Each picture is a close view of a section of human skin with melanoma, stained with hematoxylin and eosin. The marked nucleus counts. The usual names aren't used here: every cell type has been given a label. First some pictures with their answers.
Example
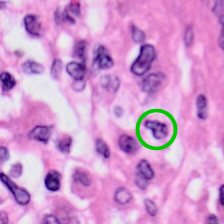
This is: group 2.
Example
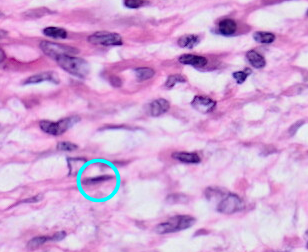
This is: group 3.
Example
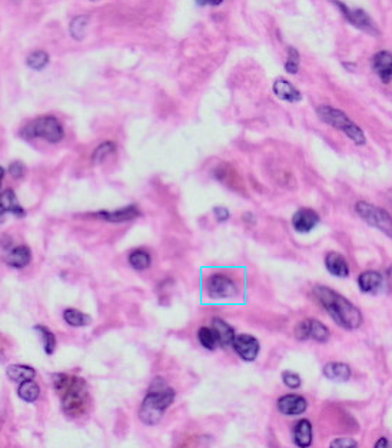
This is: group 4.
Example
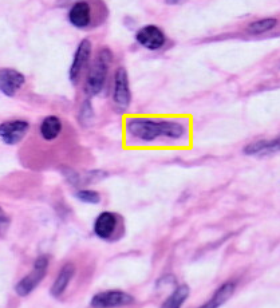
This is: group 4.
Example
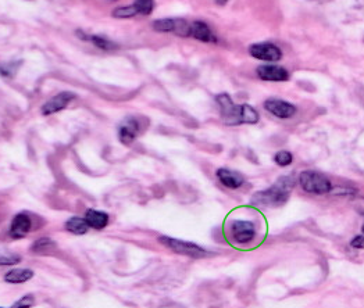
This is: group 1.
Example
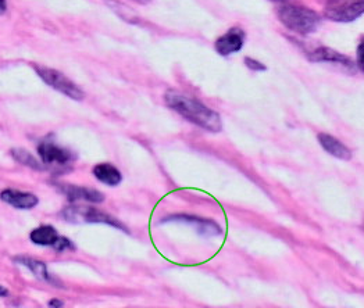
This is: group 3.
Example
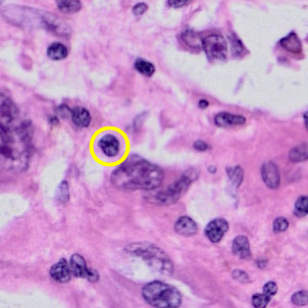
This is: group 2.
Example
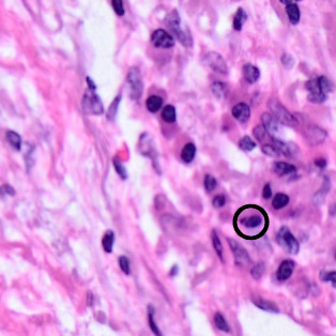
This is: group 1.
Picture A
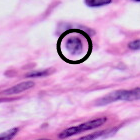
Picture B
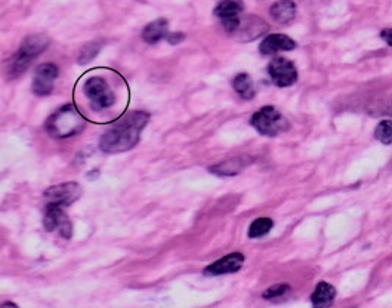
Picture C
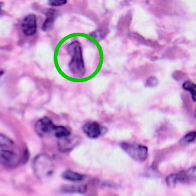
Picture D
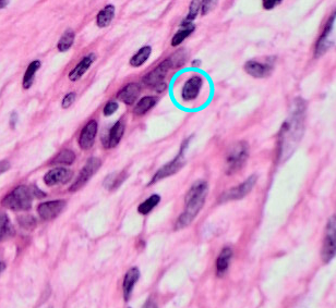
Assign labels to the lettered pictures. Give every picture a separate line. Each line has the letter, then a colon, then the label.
A: group 1.
B: group 2.
C: group 4.
D: group 2.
